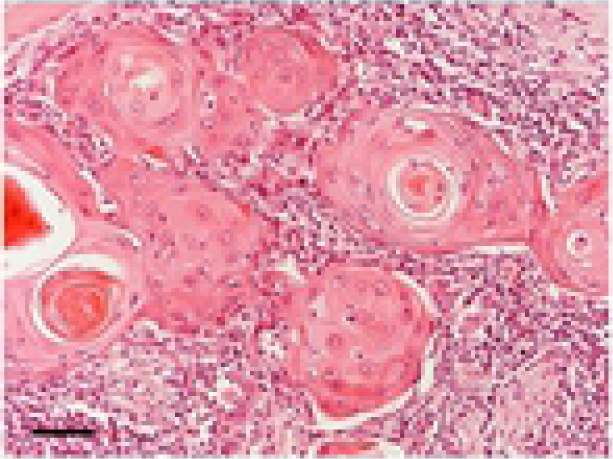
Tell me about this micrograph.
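This is squamous cell carcinoma forming rounded nests of large tumour cells with abundant pink cytoplasm. Several nests contain concentric, glassy pink whorls of keratin at their centres, forming keratin pearls. Between the nests lies a stroma crowded with small, dark-nucleated cells.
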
